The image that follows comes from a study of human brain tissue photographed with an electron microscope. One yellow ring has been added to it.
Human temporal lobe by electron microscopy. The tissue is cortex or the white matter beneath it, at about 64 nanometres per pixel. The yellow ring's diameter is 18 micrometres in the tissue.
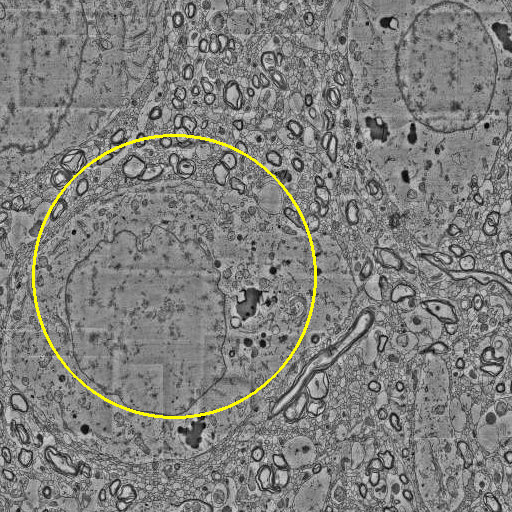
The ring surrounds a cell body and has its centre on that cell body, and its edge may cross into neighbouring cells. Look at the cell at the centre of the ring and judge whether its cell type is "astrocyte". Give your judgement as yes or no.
no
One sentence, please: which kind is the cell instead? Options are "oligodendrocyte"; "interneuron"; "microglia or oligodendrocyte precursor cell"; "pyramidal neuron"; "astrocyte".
Instead, the cell inside the ring is a pyramidal neuron.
